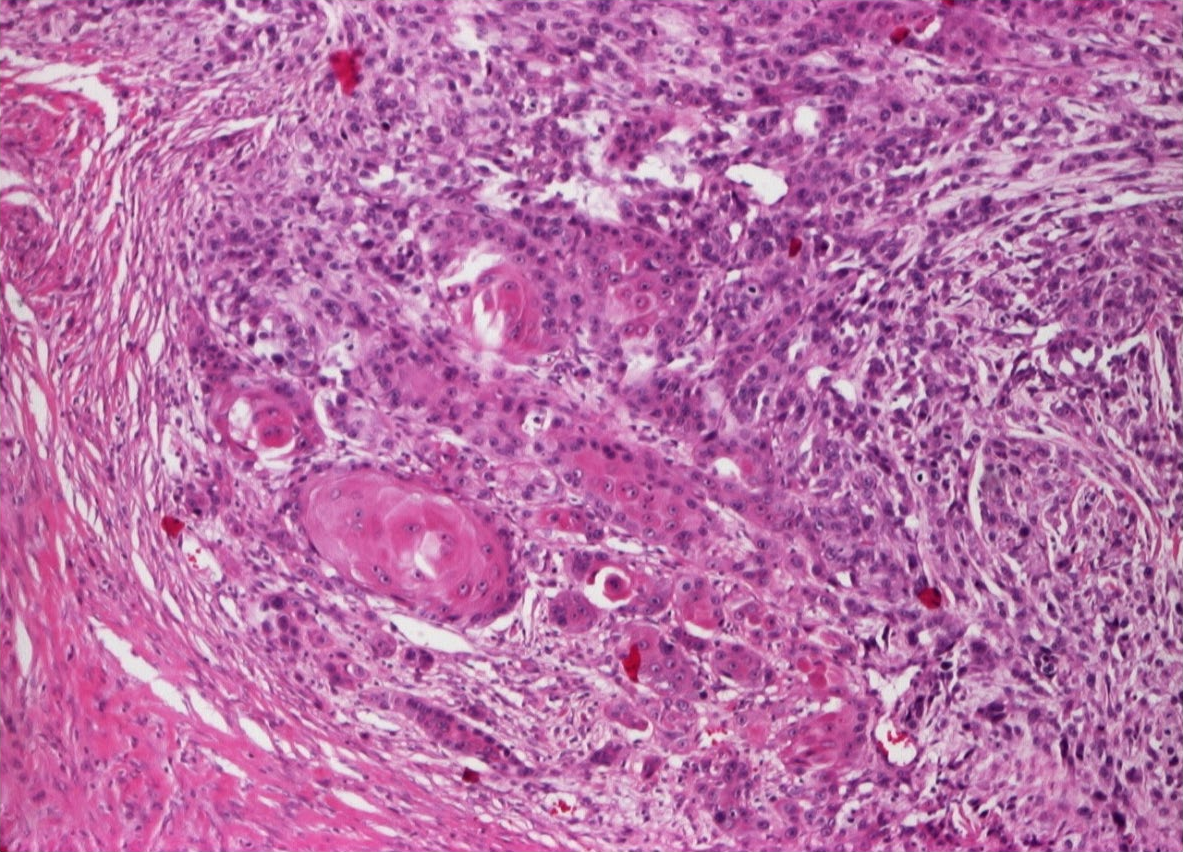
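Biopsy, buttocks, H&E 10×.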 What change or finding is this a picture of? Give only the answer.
squamous cell carcinoma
